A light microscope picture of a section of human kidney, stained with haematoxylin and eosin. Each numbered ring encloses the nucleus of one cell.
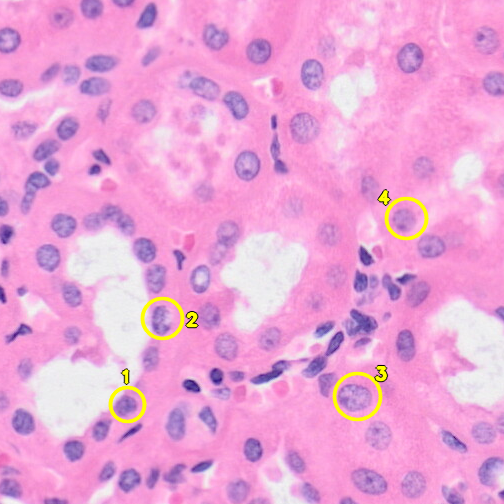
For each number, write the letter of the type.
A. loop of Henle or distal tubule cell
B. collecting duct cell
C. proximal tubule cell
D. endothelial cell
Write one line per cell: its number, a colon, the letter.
1: A
2: A
3: C
4: C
